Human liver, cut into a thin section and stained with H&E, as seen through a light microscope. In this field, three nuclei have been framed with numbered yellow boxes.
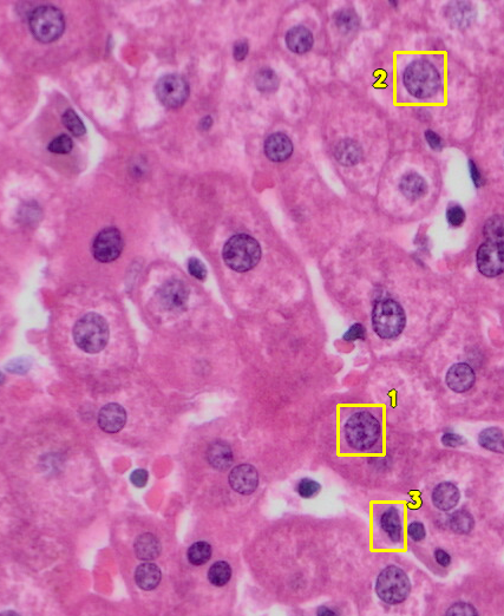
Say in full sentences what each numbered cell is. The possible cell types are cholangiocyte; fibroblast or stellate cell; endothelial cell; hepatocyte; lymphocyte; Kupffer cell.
Cells 1 and 2 are hepatocytes. Cell 3 is a Kupffer cell.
